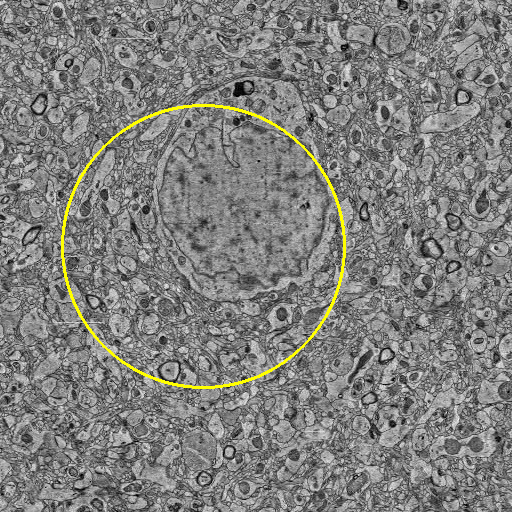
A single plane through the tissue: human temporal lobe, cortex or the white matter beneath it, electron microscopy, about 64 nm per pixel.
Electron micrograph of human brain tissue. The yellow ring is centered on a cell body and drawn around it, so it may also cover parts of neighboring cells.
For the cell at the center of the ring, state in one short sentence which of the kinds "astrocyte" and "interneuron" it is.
This ring is centered on an interneuron.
